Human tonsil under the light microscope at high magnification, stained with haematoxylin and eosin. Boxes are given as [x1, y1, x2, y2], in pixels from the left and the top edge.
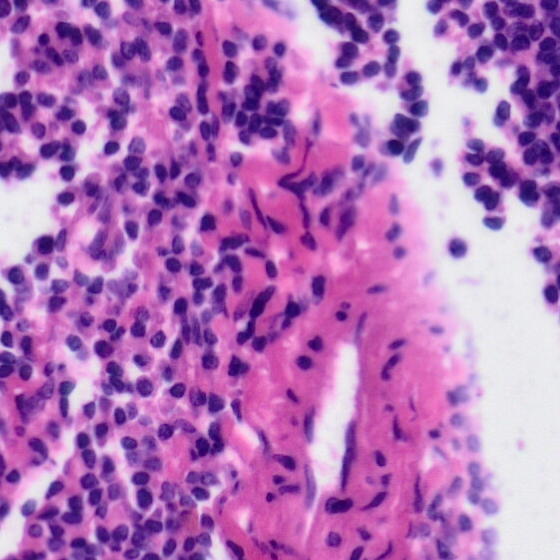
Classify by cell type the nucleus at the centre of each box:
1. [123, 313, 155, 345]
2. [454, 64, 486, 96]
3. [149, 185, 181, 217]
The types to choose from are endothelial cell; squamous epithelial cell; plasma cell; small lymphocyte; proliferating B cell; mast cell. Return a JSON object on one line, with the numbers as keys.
{"1": "plasma cell", "2": "small lymphocyte", "3": "plasma cell"}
